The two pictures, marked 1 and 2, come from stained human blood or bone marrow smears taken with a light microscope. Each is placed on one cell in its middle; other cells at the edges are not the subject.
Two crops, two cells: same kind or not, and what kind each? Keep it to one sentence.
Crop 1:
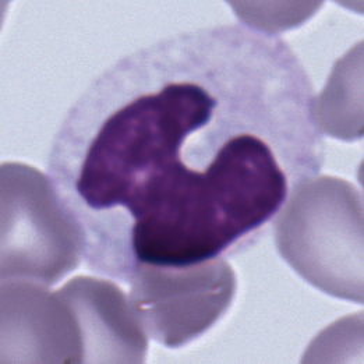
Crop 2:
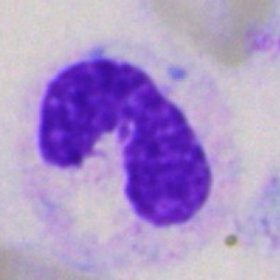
Yes, both crops show band neutrophils, with no exception.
